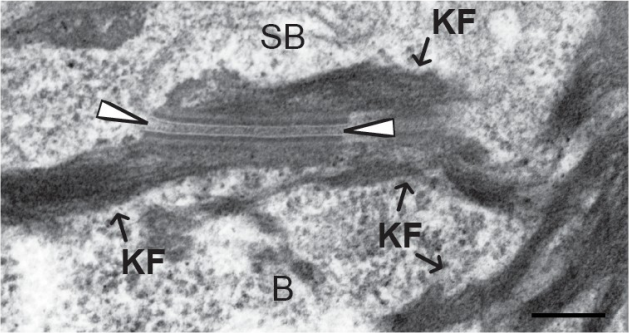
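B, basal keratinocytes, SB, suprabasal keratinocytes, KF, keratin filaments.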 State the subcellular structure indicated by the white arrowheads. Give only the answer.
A: Electron dense midline.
